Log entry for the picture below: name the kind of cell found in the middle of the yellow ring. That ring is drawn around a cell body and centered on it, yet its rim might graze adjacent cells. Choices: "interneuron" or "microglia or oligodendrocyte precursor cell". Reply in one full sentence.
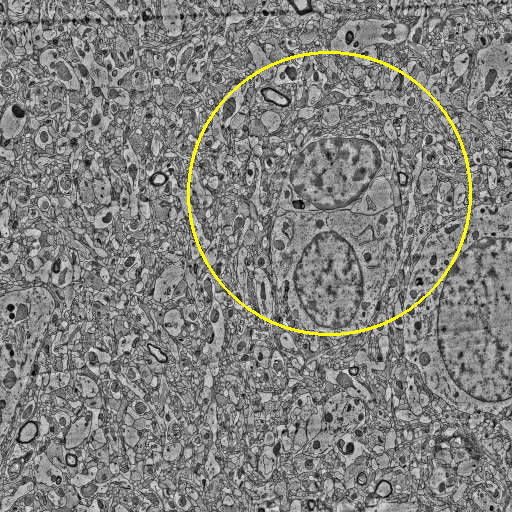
The cell in the middle of the yellow ring in this picture is a microglial cell or oligodendrocyte precursor cell.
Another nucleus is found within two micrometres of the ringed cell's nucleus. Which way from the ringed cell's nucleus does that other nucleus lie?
The other nucleus is found below it.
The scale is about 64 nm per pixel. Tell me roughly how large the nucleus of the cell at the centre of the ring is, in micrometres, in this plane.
The nucleus works out at approximately 6 by 4 micrometres in this plane.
